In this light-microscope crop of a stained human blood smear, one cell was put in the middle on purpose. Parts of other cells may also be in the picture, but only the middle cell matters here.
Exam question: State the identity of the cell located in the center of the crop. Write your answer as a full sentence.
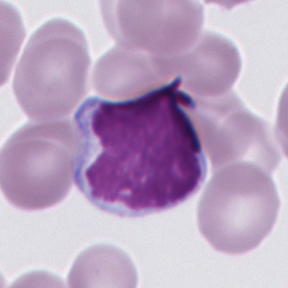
The middle cell in this particular crop is a large granular lymphocyte.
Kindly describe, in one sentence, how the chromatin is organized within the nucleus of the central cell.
The nuclear chromatin is fine, showing no coarse aggregates.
